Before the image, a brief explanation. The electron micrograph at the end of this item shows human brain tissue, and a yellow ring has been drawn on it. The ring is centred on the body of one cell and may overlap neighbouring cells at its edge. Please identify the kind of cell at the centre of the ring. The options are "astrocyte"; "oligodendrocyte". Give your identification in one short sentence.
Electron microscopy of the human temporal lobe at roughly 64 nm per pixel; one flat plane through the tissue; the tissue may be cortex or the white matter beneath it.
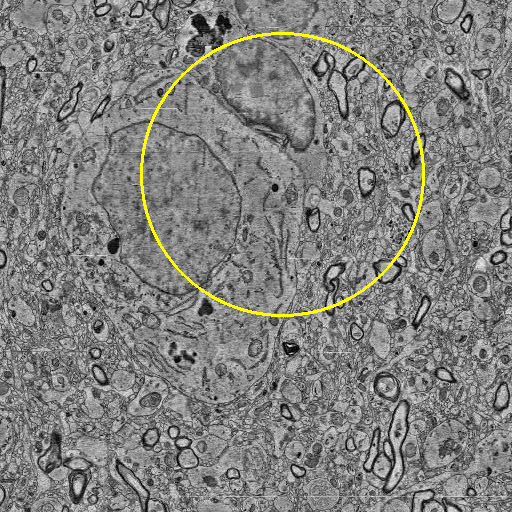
The ring has been placed around an oligodendrocyte.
